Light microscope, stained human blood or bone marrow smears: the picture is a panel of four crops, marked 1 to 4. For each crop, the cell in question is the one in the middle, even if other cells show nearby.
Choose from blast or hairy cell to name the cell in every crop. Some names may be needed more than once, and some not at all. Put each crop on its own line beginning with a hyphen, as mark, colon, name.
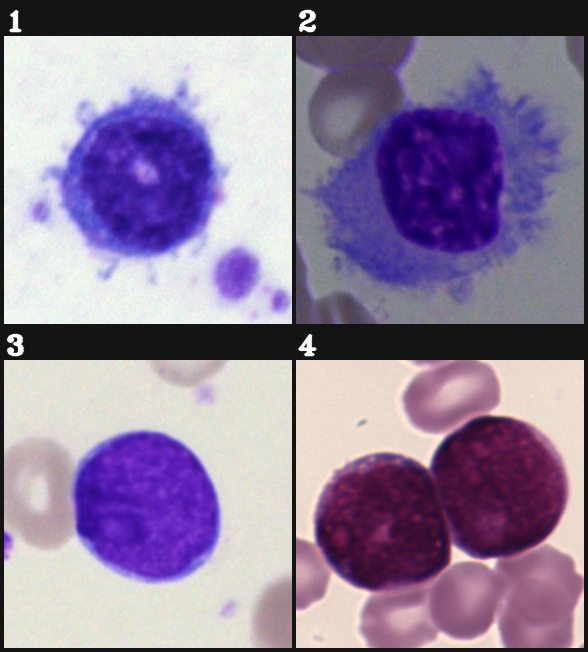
- 1: blast
- 2: hairy cell
- 3: blast
- 4: blast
